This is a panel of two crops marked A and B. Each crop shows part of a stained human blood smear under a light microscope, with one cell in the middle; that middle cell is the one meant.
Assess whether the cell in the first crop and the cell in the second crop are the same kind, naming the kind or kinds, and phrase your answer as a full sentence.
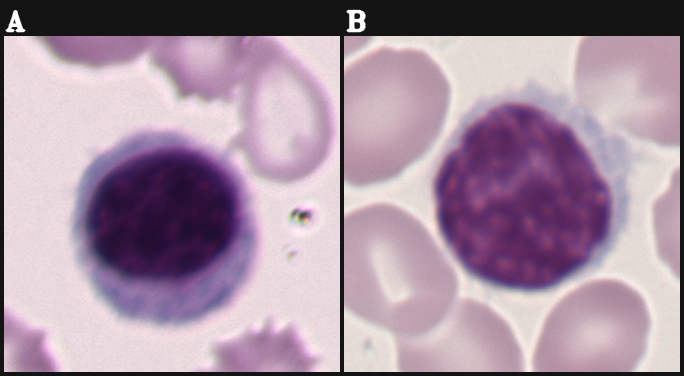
Yes, the cells that the two crops centre on are hairy cells.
